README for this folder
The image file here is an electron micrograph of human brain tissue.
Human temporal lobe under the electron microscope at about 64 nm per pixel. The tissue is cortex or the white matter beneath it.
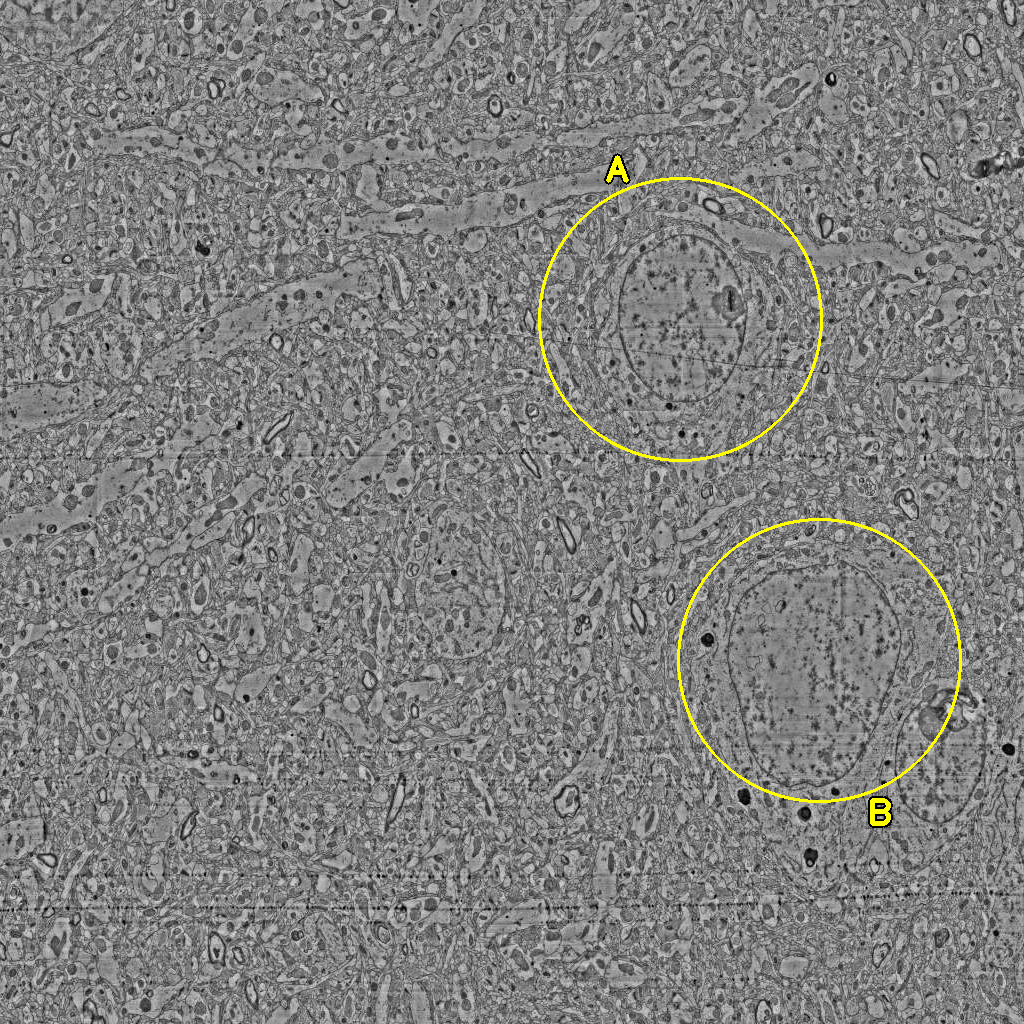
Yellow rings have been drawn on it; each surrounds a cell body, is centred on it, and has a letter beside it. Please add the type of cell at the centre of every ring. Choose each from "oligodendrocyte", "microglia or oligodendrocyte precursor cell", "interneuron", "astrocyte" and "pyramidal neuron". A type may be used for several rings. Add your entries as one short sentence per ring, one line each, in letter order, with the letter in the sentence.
Ring A marks the cell body of a pyramidal neuron.
Ring B marks the cell body of a pyramidal neuron.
